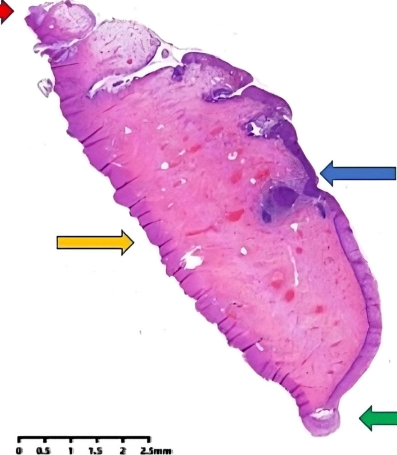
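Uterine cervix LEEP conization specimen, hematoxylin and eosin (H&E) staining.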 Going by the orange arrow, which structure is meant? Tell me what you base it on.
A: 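The orange arrow points at a long cut edge of pink fibrous stroma without epithelium. The edge has a regular scalloped, burnt-looking outline.
Answer: stromal margin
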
